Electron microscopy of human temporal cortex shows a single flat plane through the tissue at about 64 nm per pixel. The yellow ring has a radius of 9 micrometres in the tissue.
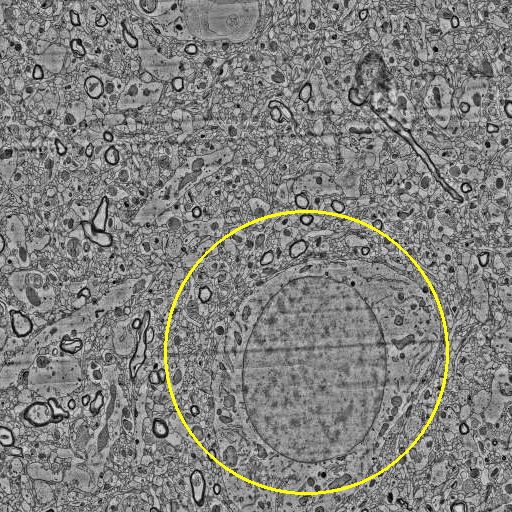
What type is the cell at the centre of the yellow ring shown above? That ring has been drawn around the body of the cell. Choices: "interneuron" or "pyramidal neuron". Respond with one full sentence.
My answer is that an interneuron lies at the centre of the yellow ring above.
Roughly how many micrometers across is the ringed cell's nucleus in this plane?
The nucleus works out at approximately 12 by 9 micrometres in this plane.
